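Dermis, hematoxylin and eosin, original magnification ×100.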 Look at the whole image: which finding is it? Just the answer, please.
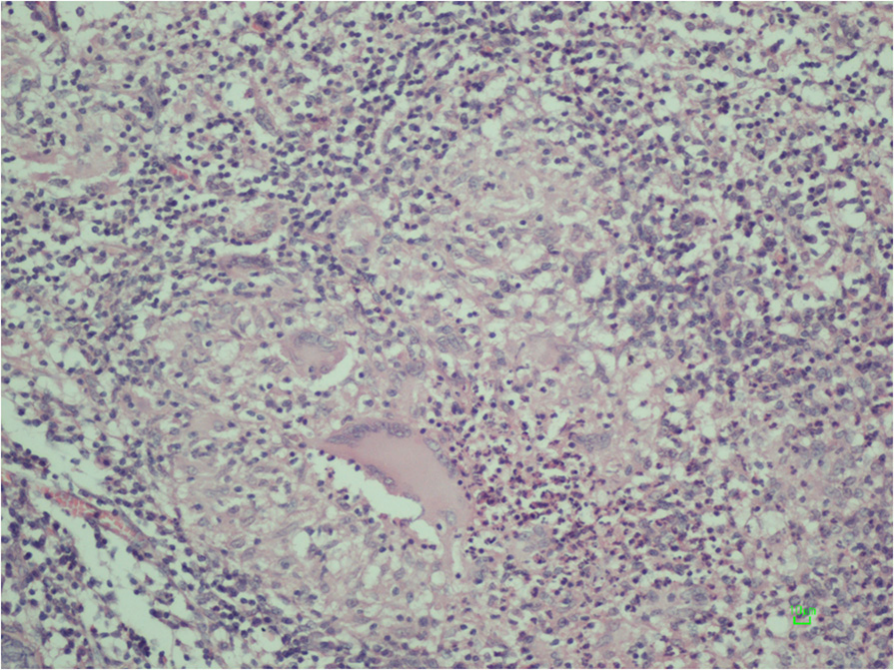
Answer: Granulomatous infiltration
